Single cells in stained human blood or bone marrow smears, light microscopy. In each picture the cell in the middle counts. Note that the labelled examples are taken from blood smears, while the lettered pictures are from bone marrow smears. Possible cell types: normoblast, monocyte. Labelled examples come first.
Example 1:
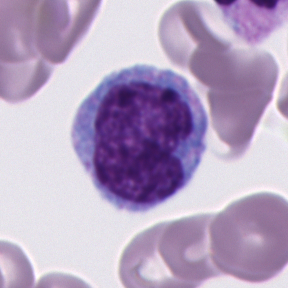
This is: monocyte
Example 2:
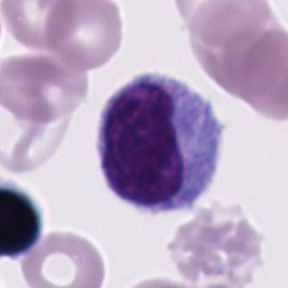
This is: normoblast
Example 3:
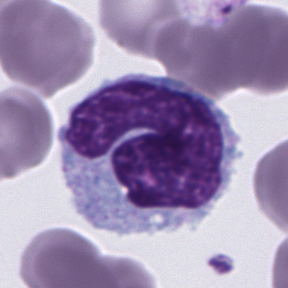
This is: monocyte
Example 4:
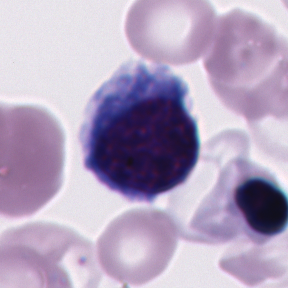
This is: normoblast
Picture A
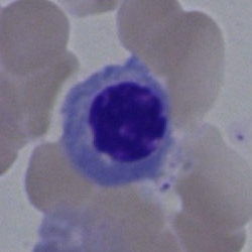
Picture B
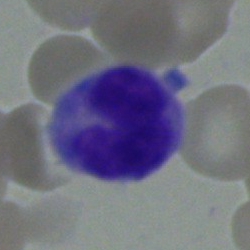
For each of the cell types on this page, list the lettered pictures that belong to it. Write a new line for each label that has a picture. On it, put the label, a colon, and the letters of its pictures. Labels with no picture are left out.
normoblast: A
monocyte: B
